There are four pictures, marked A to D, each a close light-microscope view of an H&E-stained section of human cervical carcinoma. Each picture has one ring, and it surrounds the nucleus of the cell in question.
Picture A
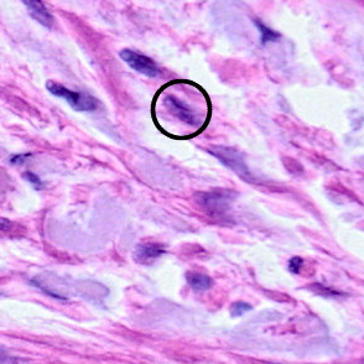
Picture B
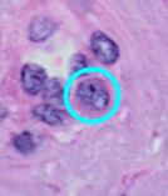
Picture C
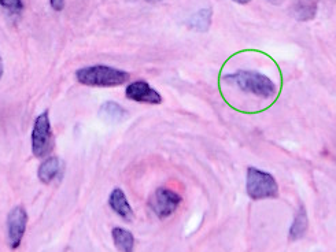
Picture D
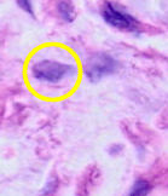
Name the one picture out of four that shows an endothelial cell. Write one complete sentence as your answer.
Picture B shows the endothelial cell.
